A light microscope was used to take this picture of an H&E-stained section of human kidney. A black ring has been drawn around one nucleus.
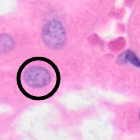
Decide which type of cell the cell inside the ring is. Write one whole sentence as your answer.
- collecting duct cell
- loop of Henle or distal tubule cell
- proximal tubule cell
The cell inside the ring appears to be a proximal tubule cell.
